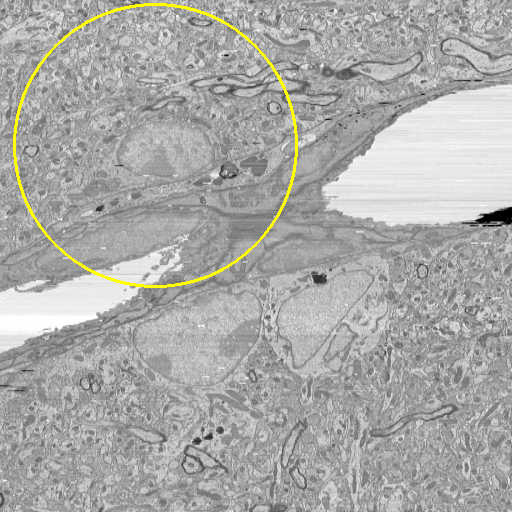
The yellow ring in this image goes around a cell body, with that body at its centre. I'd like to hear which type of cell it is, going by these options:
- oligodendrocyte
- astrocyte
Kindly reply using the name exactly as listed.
oligodendrocyte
